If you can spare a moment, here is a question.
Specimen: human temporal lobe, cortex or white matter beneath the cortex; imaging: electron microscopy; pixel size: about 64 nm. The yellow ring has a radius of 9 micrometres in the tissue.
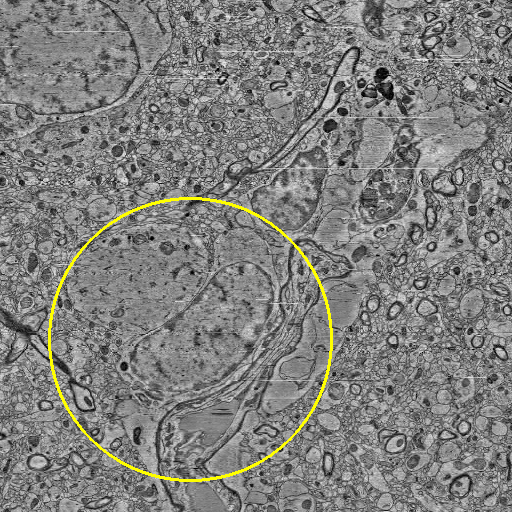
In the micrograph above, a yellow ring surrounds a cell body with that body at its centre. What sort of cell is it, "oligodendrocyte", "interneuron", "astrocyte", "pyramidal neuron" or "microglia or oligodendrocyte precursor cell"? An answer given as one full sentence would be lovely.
Centred inside the yellow ring, the cell body shown belongs to a microglial cell or oligodendrocyte precursor cell in this micrograph.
